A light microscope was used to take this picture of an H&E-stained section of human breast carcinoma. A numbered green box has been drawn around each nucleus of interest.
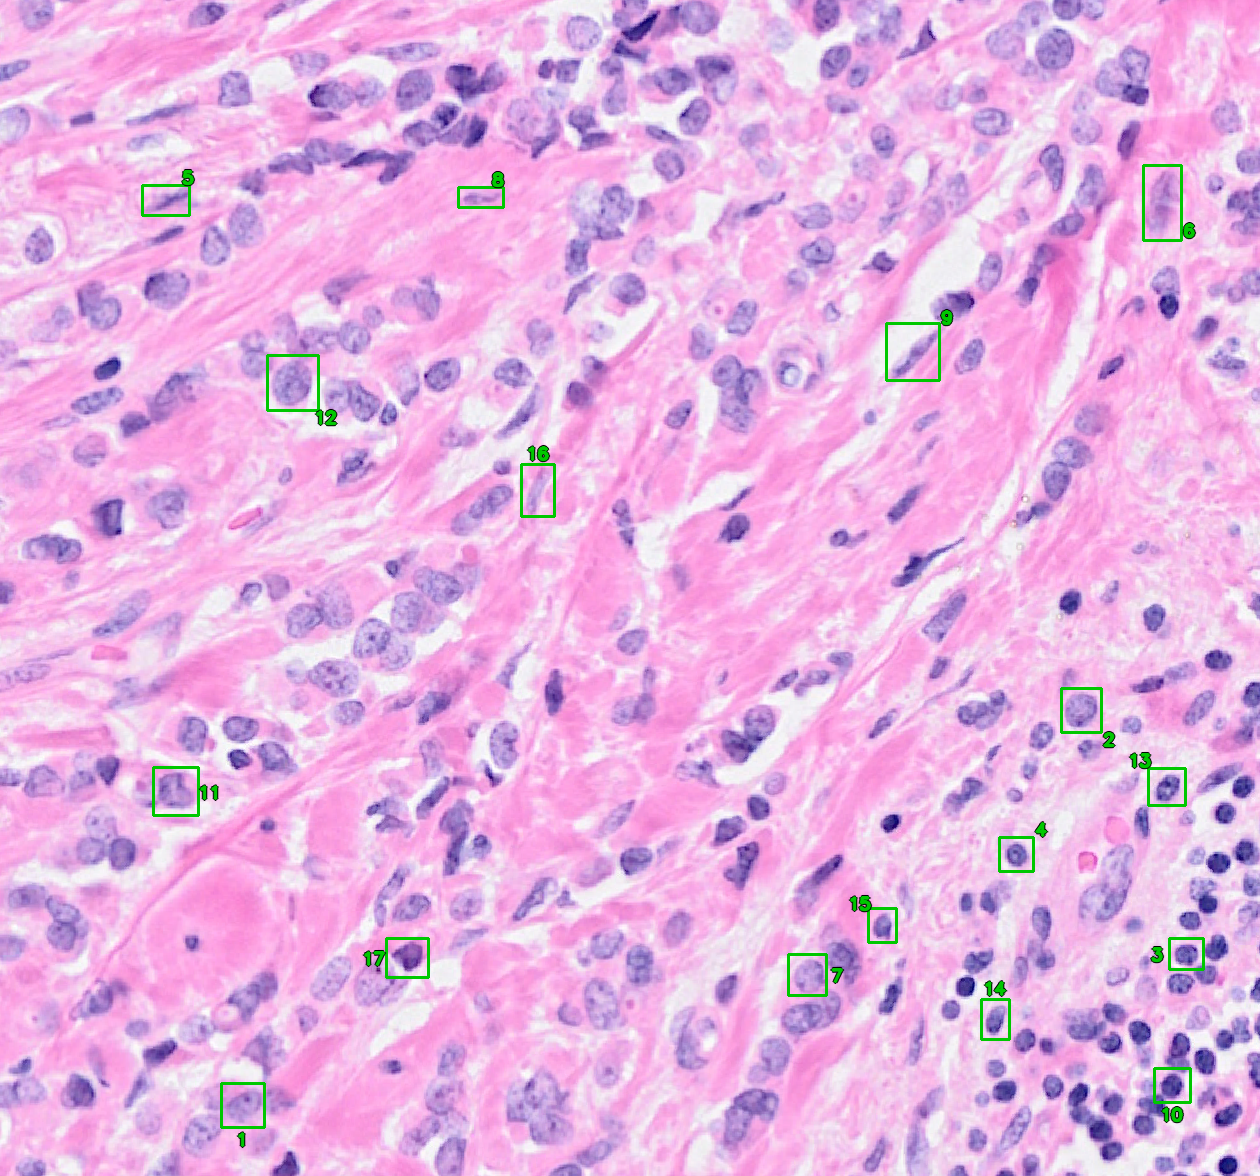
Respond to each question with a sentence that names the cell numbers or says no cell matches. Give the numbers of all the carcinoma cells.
The cells carrying the numbers 1, 2, 7, 11, 12 and 17 are carcinoma cells.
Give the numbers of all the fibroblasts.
The numbers 5, 6, 8, 9 and 16 mark cells that are fibroblasts.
